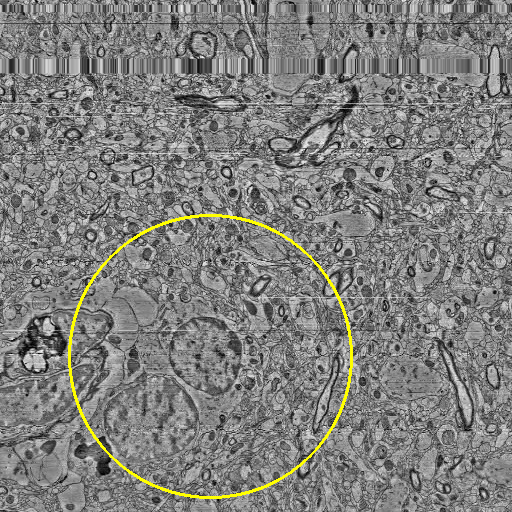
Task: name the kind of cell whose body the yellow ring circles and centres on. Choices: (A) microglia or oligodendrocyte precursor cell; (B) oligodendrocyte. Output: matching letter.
A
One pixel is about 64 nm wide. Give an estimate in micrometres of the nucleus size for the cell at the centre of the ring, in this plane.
In this plane, the nucleus is roughly 5 by 4 micrometres.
